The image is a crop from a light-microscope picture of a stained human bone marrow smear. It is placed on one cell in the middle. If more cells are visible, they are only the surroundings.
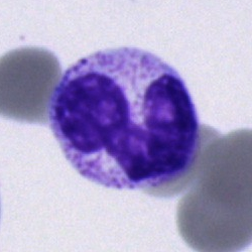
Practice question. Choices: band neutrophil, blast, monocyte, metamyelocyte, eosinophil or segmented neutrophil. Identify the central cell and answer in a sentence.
Framed in the middle of the crop is a band neutrophil.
